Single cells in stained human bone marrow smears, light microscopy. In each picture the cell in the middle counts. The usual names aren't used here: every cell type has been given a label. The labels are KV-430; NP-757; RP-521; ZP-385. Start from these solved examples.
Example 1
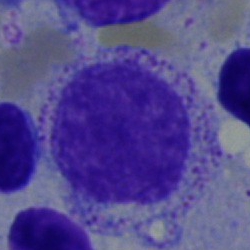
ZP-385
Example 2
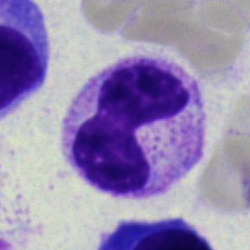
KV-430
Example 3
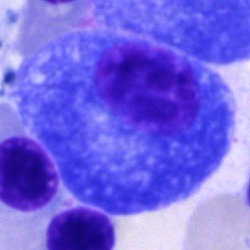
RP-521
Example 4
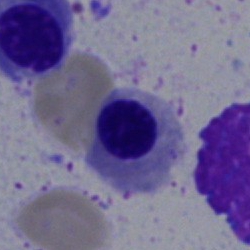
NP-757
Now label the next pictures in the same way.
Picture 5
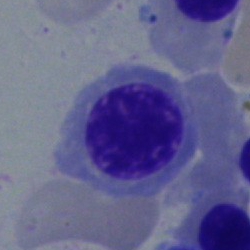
NP-757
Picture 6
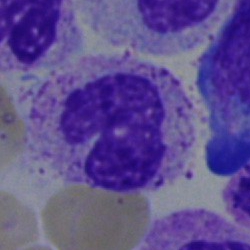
KV-430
